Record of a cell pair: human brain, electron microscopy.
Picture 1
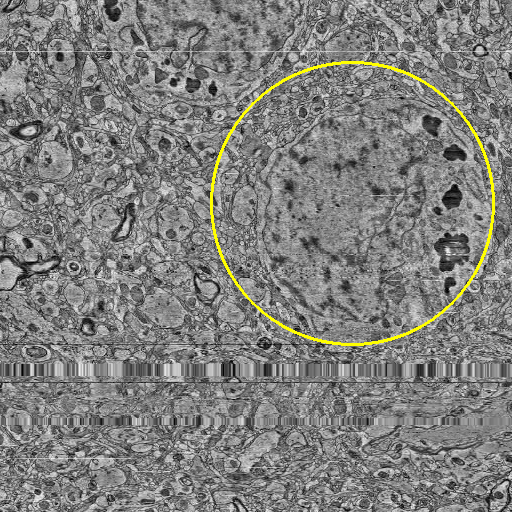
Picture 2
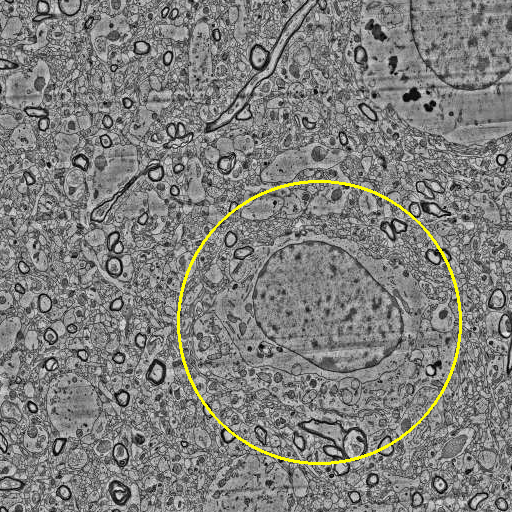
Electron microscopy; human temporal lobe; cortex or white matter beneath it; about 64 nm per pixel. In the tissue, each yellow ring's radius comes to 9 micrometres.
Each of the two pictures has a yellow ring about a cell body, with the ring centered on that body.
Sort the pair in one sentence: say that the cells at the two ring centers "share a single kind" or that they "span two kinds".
The cells centered in the rings of Pictures 1 and 2 span two kinds.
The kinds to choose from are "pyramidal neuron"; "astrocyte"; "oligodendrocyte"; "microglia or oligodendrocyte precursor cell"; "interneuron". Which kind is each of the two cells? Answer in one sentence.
Of the two, the first cell is an interneuron and the second cell is a microglial cell or oligodendrocyte precursor cell.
